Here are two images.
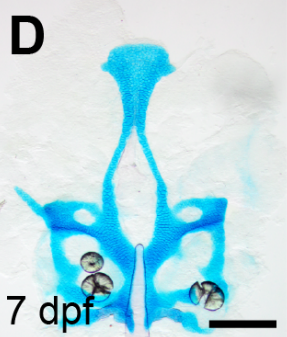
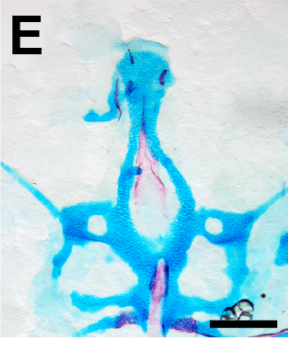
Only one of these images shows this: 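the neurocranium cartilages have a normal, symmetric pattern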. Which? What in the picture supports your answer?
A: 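The first image. Second image: the anterior cartilage plate is narrow and irregular, the framework uneven. First image: a broad anterior plate and symmetric paired bars around a midline opening.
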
